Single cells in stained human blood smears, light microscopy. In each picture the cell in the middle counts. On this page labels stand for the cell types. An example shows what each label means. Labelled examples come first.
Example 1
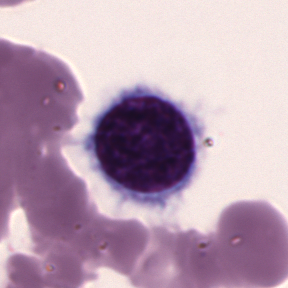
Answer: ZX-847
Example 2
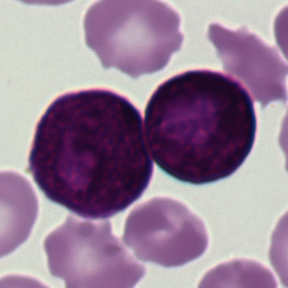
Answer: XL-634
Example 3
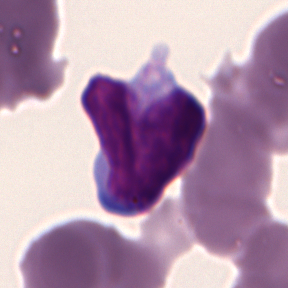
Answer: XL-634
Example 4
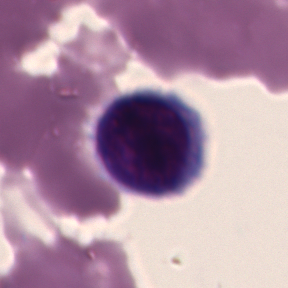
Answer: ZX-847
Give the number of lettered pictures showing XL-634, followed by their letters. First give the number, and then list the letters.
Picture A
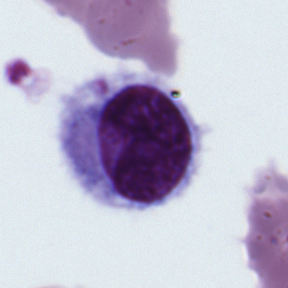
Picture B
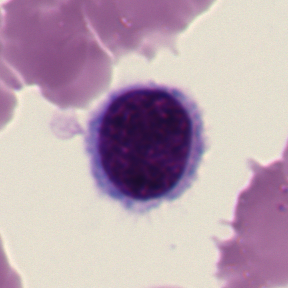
0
